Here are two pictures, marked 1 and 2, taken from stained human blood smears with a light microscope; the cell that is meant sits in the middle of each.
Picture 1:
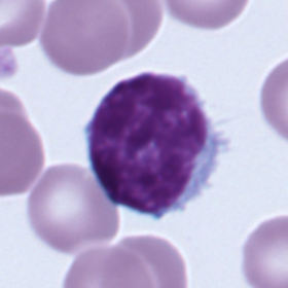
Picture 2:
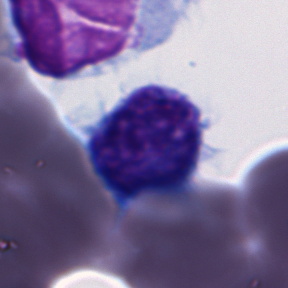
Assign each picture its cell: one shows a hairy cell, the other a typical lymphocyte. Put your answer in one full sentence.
The cell in picture 1 is a typical lymphocyte, and the one in picture 2 is a hairy cell.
